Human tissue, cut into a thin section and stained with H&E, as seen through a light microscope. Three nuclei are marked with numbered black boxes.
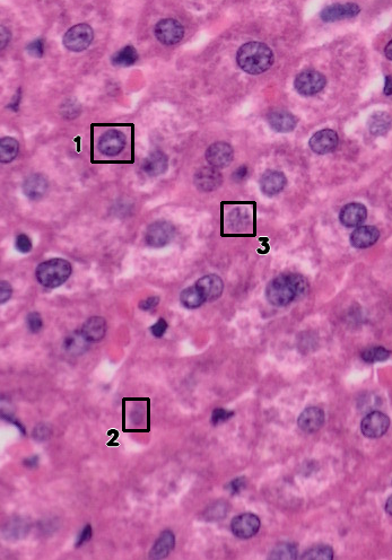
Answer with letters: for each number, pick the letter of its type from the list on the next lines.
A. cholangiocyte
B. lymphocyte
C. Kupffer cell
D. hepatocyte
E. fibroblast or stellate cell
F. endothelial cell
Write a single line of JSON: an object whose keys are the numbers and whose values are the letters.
{"1": "D", "2": "C", "3": "D"}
